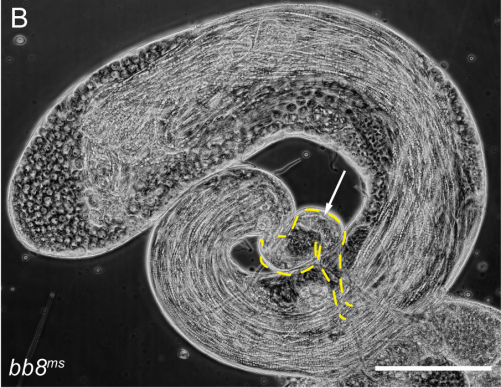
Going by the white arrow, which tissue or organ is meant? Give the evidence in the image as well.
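Seminal vesicle. The arrow points to a small yellow-dashed sac at the inner end of the coiled tube. The sac is small and lacks dense fibrous content.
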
